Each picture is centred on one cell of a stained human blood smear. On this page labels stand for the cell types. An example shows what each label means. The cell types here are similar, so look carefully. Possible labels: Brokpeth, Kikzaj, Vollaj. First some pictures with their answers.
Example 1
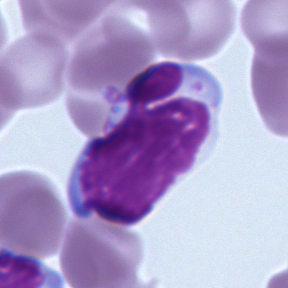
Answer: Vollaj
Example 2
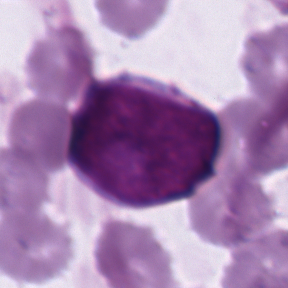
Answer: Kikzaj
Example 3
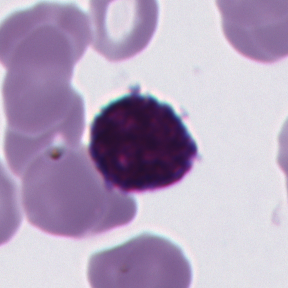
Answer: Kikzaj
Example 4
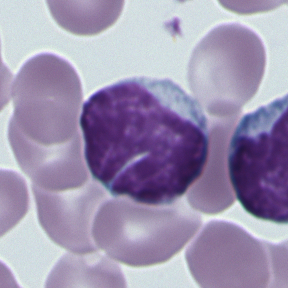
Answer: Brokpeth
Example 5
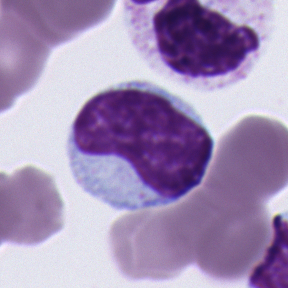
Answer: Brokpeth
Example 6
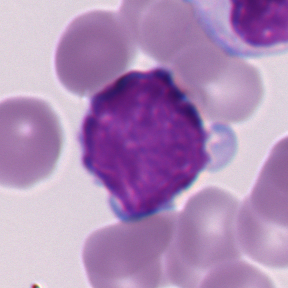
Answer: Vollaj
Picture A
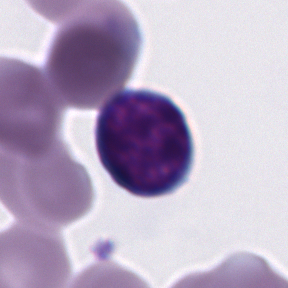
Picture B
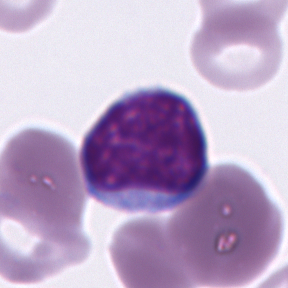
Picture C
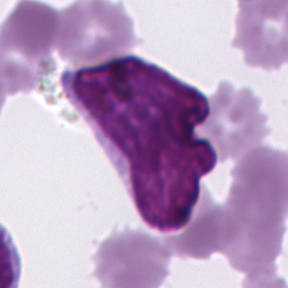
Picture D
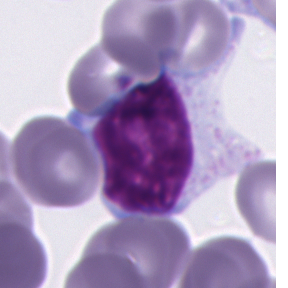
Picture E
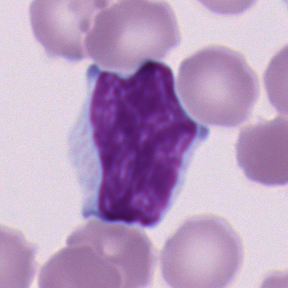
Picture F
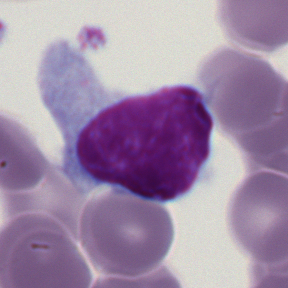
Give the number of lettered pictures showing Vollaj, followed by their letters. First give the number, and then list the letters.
Count: 1 (D)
